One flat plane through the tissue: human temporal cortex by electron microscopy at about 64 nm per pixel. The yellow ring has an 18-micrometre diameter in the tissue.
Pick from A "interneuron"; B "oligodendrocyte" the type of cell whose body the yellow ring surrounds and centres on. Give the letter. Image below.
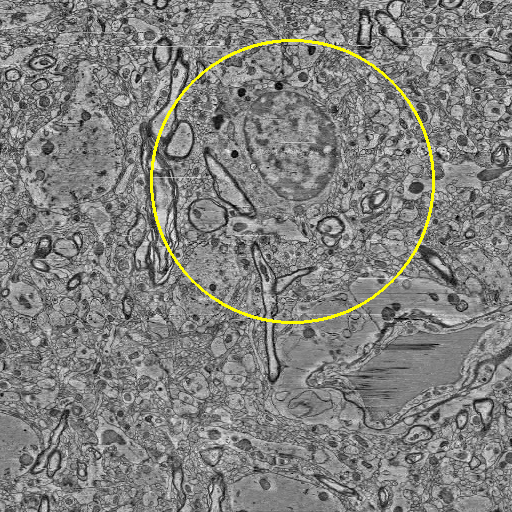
B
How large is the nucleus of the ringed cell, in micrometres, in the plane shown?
The nucleus has a long axis of about 7 micrometres and a short axis of about 6 micrometres in this plane.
